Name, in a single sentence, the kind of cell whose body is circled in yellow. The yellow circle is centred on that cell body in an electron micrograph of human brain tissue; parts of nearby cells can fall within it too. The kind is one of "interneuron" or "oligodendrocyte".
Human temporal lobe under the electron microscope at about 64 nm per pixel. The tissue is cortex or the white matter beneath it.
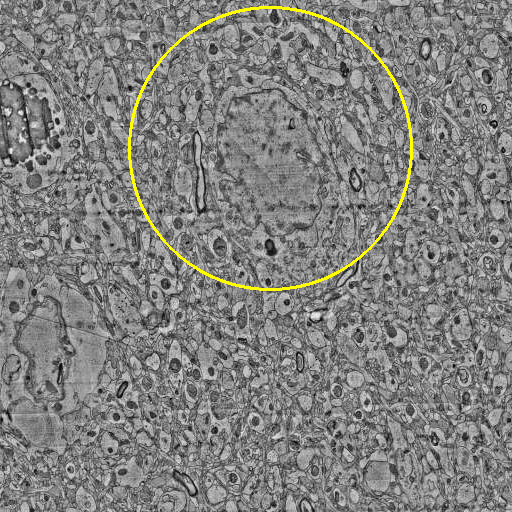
The circled cell body belongs to an interneuron.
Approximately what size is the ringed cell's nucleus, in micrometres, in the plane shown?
Roughly 9 by 7 micrometres is the size of the nucleus in this plane.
